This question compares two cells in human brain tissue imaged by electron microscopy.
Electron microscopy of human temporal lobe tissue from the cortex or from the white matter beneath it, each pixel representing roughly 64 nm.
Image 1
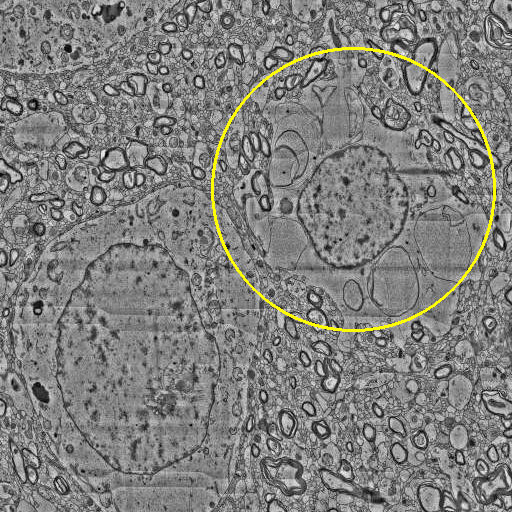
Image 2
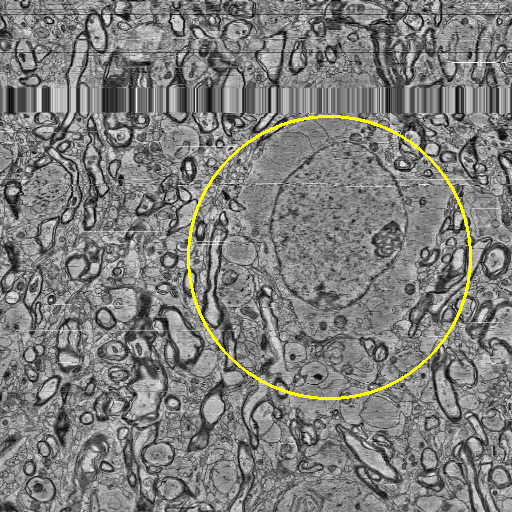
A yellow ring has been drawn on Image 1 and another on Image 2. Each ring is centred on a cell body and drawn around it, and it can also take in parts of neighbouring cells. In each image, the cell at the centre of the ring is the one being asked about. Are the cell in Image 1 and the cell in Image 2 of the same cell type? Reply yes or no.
yes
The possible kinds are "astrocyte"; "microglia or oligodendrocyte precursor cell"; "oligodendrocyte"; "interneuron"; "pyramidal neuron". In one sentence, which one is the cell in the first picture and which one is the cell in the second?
The first and the second cell are each an astrocyte.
